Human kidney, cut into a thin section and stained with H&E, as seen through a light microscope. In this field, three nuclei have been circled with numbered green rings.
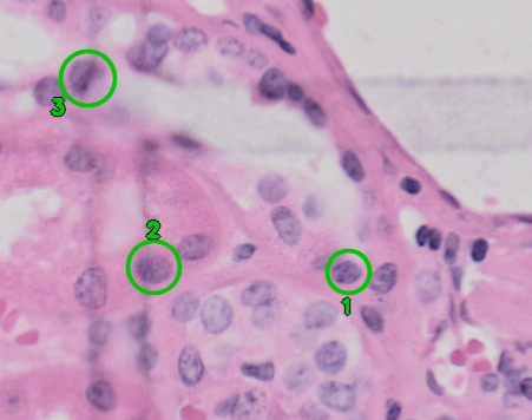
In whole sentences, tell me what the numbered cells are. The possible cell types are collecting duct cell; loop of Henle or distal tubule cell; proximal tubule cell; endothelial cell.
Cells 1 and 3 are collecting duct cells. Cell 2 is a proximal tubule cell.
